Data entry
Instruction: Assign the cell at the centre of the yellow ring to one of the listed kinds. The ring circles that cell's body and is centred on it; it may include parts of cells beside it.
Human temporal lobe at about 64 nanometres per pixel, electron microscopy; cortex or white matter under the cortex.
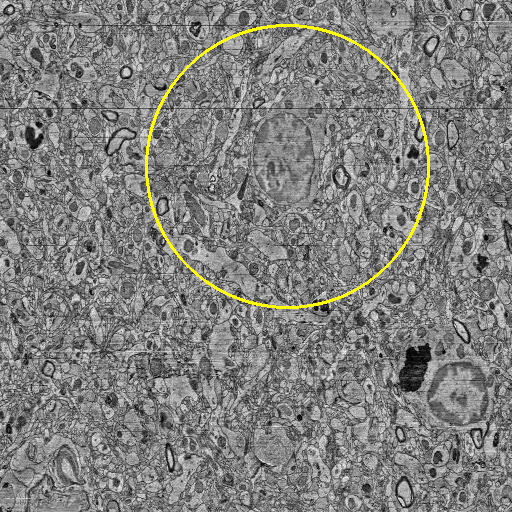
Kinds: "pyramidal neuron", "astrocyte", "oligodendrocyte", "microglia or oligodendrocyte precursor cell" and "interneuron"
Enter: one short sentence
The centre of the ring falls on an oligodendrocyte.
